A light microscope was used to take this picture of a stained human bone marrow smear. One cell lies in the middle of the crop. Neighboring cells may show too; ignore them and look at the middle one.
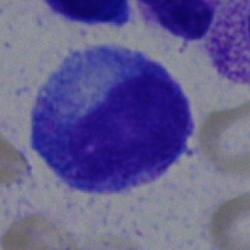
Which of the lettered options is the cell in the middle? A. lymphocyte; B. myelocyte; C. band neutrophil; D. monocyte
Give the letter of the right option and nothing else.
B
